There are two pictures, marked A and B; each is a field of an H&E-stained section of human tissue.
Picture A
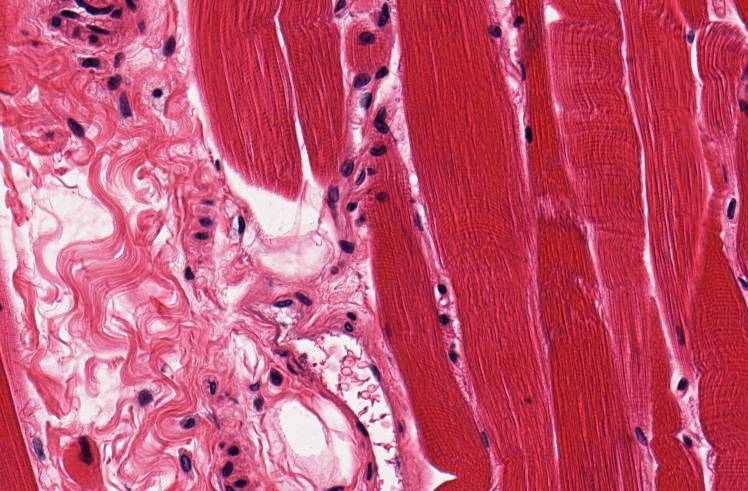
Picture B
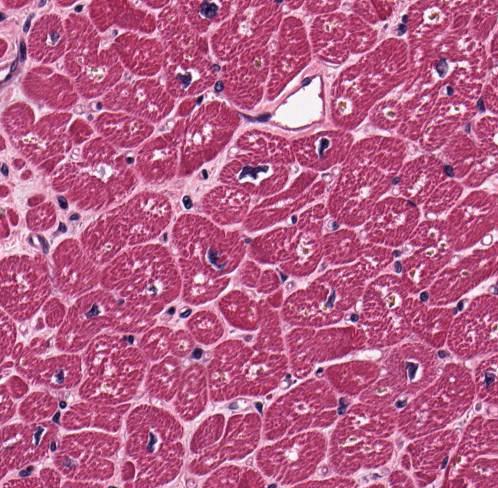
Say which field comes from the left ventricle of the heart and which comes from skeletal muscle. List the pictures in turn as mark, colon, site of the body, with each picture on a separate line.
A: skeletal muscle
B: left ventricle of the heart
